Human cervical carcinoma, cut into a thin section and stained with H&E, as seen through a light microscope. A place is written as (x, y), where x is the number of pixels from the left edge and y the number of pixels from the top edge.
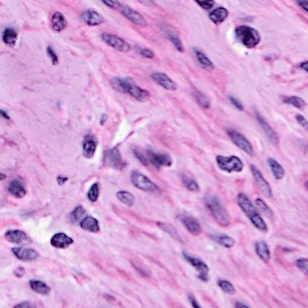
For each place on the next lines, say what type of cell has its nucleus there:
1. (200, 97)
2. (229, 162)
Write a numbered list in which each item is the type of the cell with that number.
1. smooth muscle cell
2. lymphocyte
